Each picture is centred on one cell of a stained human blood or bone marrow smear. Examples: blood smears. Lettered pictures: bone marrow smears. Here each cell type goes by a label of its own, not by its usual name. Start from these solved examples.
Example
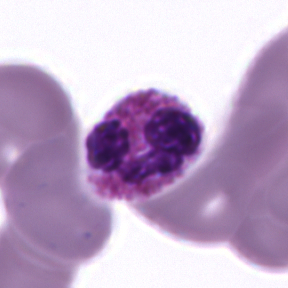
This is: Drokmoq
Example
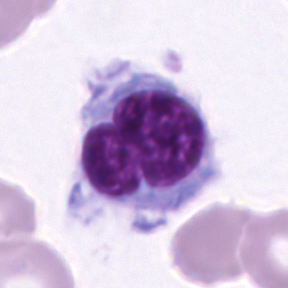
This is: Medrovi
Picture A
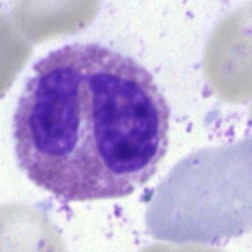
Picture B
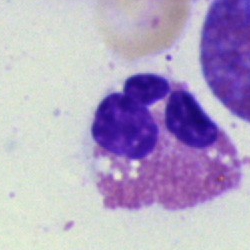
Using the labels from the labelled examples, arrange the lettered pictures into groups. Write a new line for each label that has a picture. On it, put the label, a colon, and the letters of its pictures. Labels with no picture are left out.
Drokmoq: A, B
